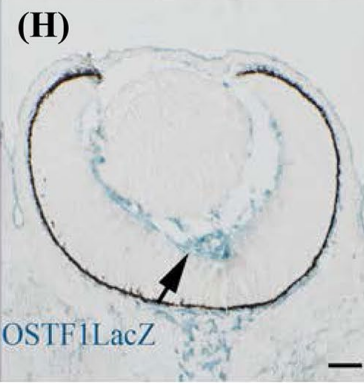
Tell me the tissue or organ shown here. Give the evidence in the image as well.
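Eye. Cup-shaped dark pigmented layer surrounds a round lens. Opening at the front with lens in the middle.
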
